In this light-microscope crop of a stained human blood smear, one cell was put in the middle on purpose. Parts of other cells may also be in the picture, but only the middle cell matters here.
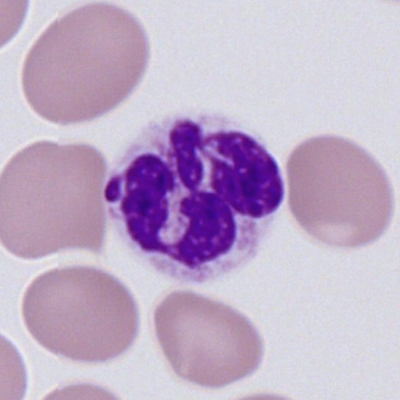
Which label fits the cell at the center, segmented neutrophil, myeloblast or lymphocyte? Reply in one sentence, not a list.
The crop's centre is taken up by a segmented neutrophil.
